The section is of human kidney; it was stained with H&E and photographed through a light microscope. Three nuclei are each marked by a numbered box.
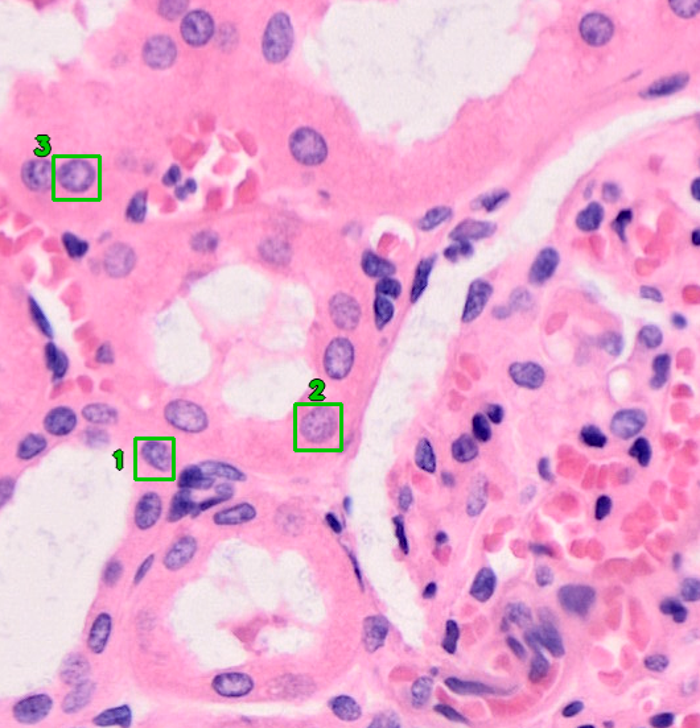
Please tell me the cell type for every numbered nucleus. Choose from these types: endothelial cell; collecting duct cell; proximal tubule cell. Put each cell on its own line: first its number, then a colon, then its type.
1: collecting duct cell
2: proximal tubule cell
3: proximal tubule cell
